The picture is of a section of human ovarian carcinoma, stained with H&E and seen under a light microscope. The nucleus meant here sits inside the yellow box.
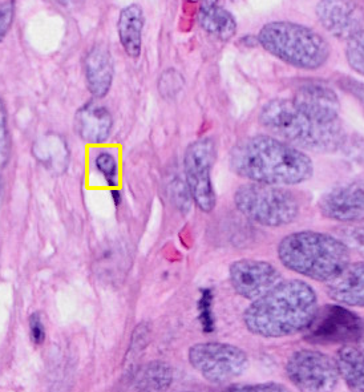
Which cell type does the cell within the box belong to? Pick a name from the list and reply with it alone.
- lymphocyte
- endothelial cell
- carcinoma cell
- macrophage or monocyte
macrophage or monocyte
